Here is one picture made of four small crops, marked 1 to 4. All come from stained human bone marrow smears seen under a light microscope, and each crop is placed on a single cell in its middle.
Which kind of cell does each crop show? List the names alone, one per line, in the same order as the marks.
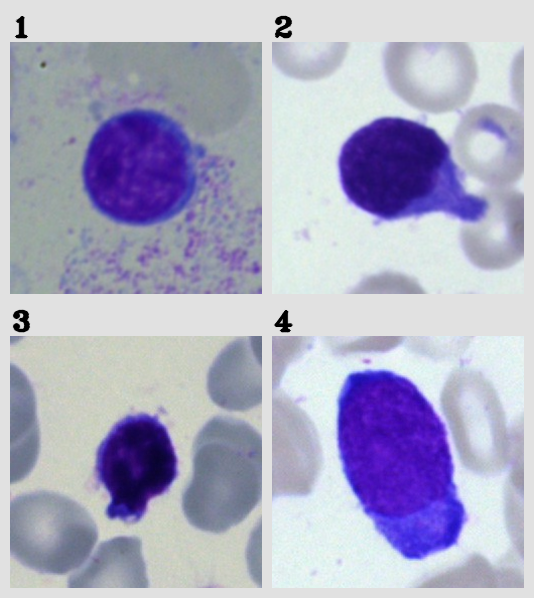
lymphocyte
blast
lymphocyte
blast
